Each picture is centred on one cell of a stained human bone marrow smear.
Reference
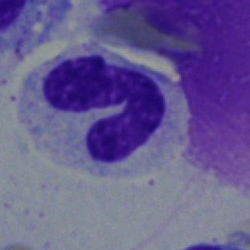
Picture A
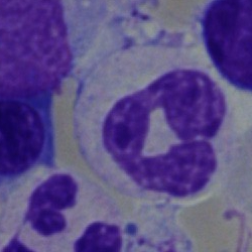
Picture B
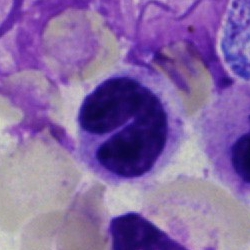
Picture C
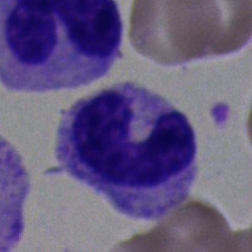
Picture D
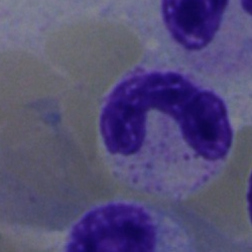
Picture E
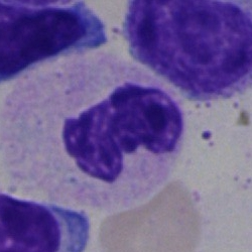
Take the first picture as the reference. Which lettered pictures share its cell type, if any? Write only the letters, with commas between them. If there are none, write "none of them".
A, B, C, D, E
